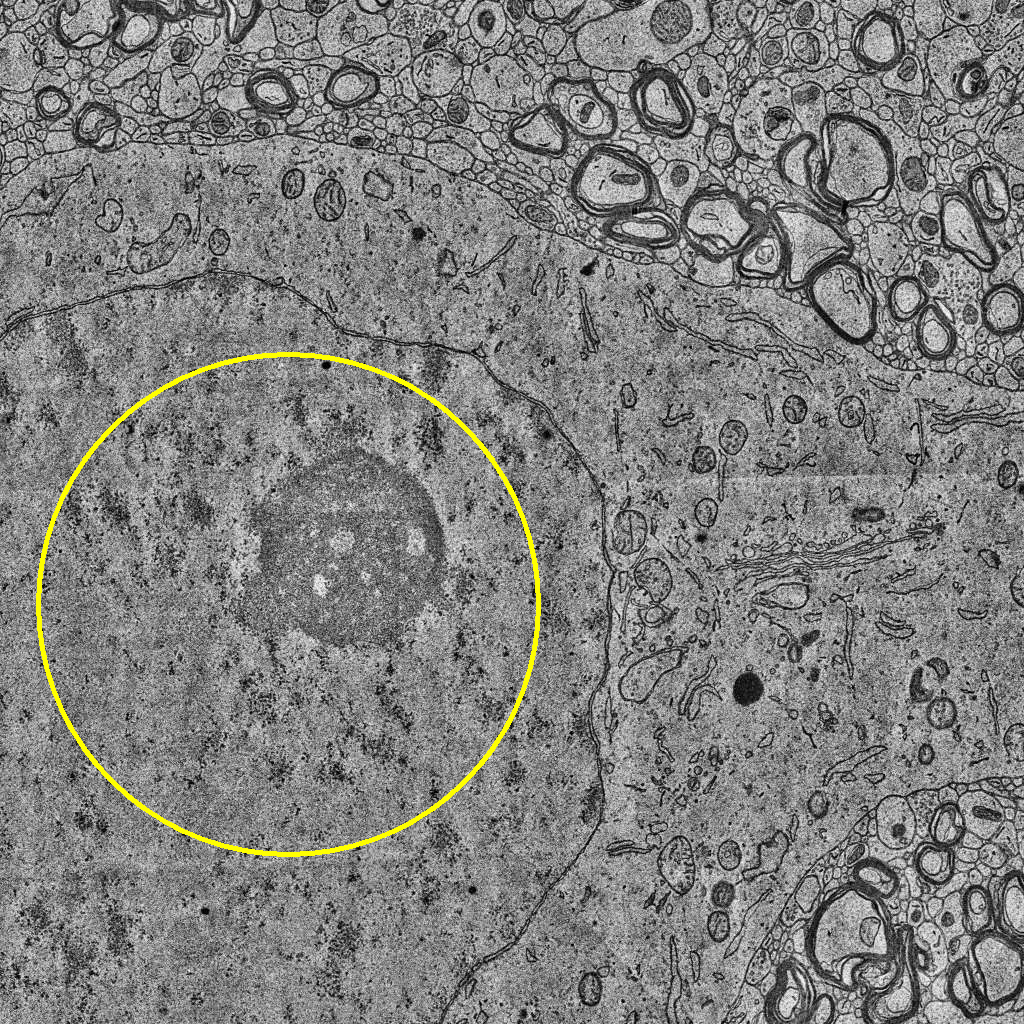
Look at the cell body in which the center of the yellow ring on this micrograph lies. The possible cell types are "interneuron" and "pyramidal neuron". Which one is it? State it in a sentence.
The cell at the middle of the ring is a pyramidal neuron.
